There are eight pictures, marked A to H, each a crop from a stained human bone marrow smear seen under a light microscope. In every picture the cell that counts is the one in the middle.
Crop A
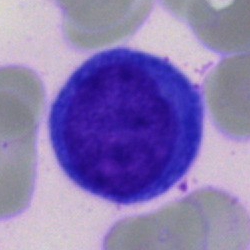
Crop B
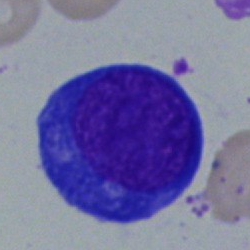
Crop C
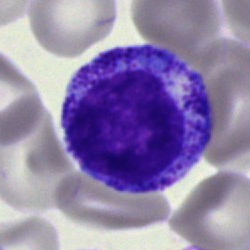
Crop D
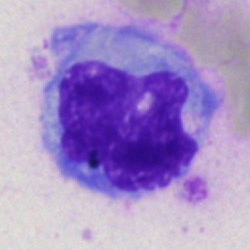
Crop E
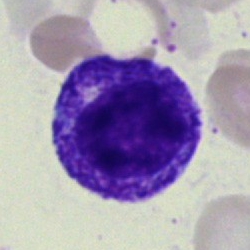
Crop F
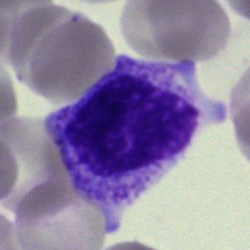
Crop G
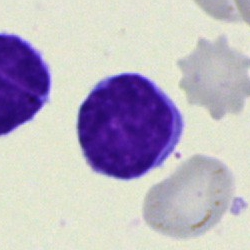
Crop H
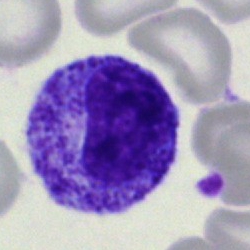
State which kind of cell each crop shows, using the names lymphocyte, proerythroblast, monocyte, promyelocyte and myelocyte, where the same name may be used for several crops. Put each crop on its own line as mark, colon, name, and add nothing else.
A: proerythroblast
B: proerythroblast
C: myelocyte
D: monocyte
E: myelocyte
F: myelocyte
G: lymphocyte
H: myelocyte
